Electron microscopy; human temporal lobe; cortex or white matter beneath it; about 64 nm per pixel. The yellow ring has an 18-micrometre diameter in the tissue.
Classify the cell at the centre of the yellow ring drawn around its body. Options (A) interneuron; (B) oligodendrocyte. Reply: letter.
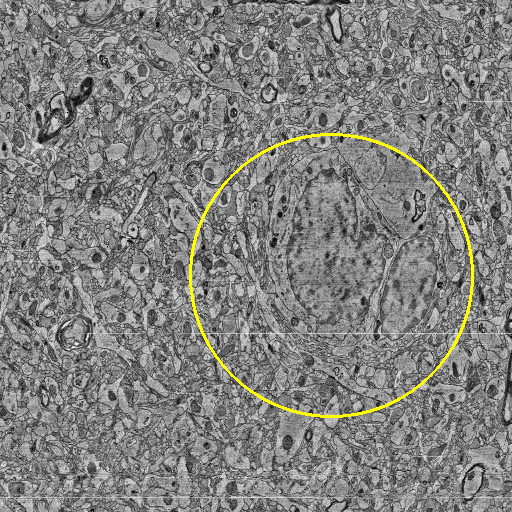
A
